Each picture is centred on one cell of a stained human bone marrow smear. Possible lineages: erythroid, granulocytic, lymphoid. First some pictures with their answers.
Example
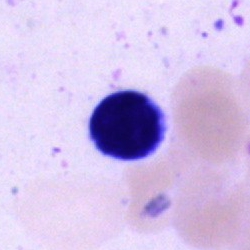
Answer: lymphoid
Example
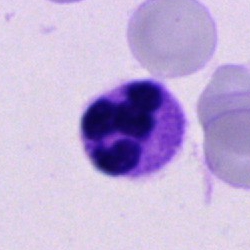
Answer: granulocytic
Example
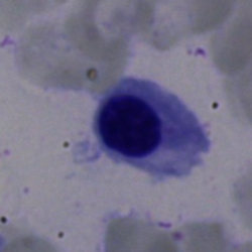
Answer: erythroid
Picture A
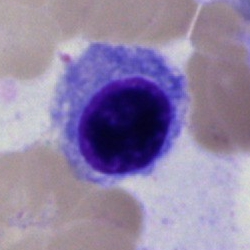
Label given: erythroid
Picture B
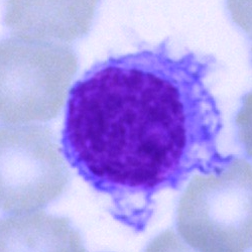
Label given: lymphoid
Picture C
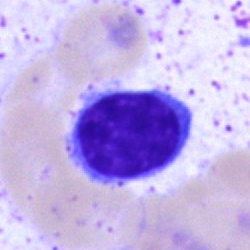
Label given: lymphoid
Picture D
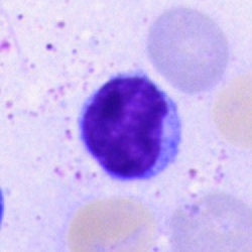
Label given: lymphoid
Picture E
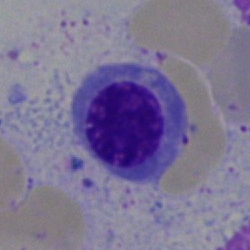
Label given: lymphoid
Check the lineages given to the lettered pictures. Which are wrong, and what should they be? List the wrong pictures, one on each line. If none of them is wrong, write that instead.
E: erythroid, not lymphoid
